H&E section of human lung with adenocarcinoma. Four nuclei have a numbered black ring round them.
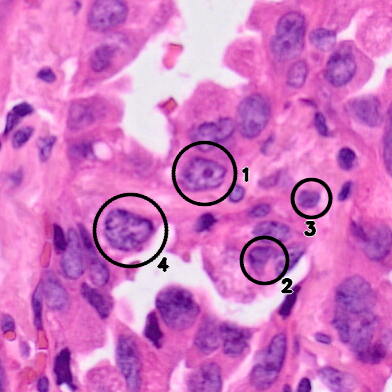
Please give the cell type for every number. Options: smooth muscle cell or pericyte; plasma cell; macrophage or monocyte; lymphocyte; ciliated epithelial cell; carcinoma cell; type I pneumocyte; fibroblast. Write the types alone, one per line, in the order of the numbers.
carcinoma cell
carcinoma cell
lymphocyte
carcinoma cell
